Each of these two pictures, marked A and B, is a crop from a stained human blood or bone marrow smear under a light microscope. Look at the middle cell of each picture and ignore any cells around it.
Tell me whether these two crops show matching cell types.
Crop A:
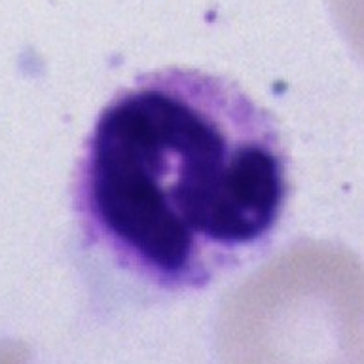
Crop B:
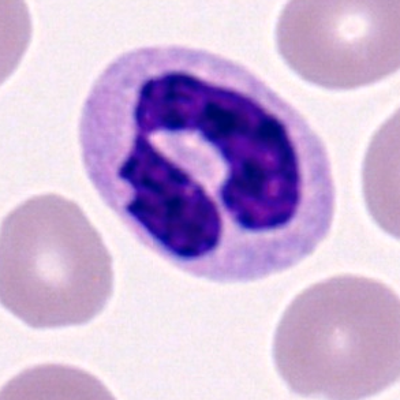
yes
